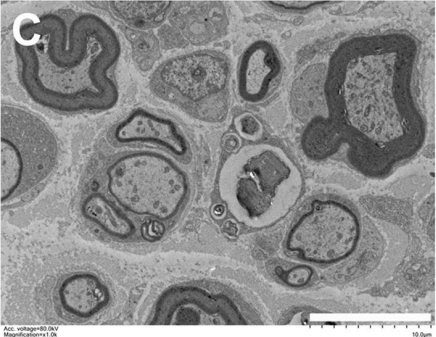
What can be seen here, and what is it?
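A cross-section of nerve shows axon profiles of varied size, many surrounded by dark myelin rings that are thin relative to the axon or strongly folded and irregular in outline. Some axons have only a narrow dark rim, and one profile contains dark, disorganised material within a pale space. The spaces between fibers hold pale cellular processes and scattered profiles of differing density.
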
